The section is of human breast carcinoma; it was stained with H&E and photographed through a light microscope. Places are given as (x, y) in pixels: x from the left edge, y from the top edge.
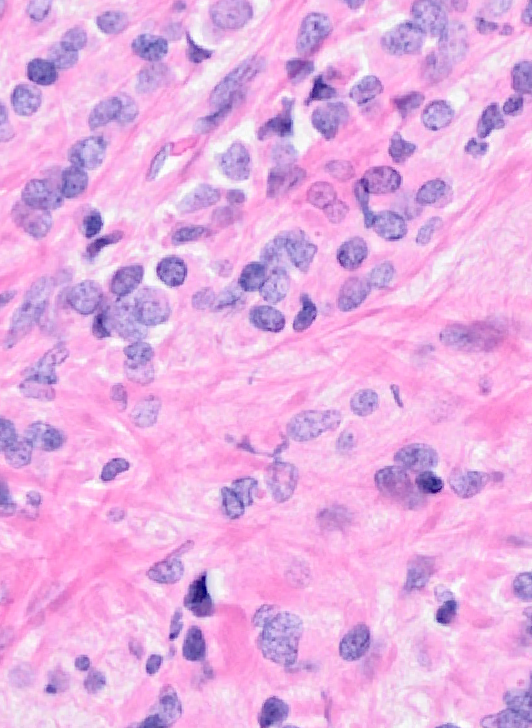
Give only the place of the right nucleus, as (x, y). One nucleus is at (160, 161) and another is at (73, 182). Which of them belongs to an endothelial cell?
(160, 161)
